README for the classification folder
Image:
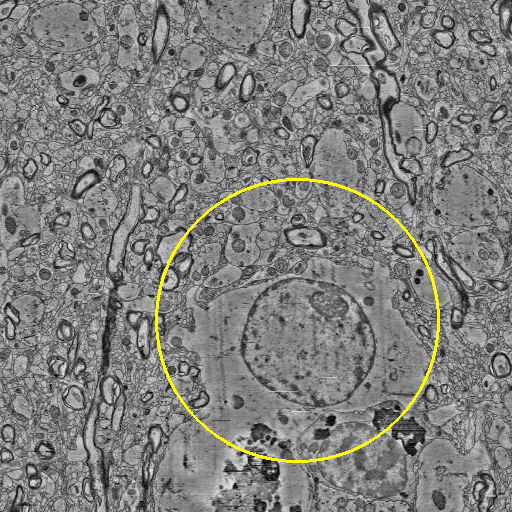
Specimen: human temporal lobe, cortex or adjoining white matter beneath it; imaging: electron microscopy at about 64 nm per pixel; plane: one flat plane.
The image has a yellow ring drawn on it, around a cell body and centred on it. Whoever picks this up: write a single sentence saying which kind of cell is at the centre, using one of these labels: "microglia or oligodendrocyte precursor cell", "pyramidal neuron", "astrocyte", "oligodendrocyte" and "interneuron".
This cell body is that of an astrocyte.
